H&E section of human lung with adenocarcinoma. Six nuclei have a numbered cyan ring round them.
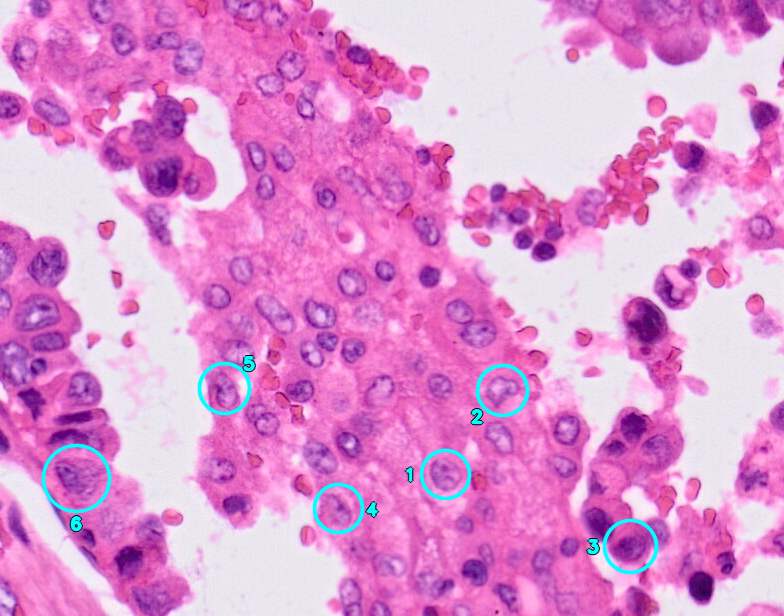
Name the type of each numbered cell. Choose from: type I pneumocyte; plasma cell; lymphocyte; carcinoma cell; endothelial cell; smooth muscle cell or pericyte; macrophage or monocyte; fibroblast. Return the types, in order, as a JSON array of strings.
["macrophage or monocyte", "macrophage or monocyte", "carcinoma cell", "macrophage or monocyte", "macrophage or monocyte", "carcinoma cell"]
